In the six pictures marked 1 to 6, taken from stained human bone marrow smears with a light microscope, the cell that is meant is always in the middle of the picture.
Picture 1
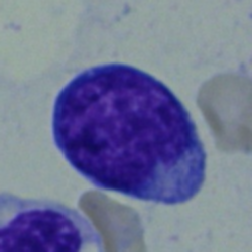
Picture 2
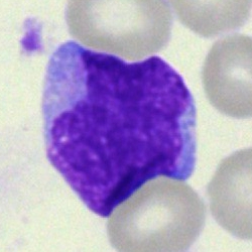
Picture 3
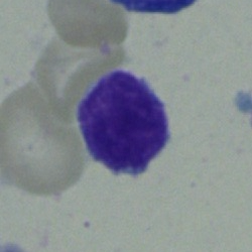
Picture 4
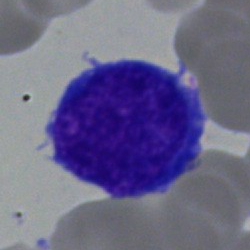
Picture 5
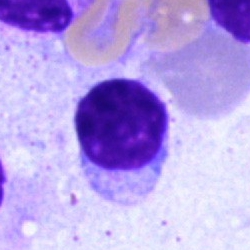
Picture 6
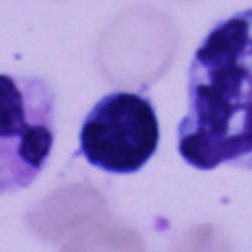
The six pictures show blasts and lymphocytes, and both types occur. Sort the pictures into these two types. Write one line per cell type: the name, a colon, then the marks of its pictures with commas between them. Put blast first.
blast: 1, 2, 3, 4
lymphocyte: 5, 6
